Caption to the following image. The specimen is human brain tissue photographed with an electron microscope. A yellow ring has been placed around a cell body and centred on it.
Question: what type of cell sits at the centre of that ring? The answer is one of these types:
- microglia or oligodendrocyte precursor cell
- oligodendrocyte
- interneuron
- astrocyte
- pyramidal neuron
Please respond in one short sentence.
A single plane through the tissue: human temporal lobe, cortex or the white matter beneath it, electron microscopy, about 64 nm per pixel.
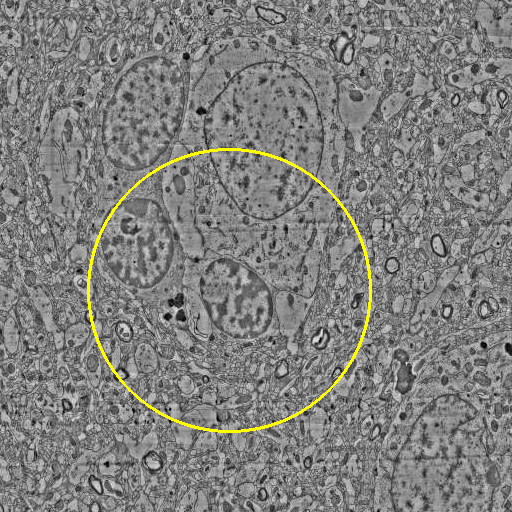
The ring surrounds the cell body of a microglial cell or oligodendrocyte precursor cell.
